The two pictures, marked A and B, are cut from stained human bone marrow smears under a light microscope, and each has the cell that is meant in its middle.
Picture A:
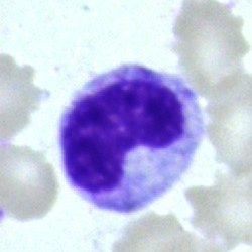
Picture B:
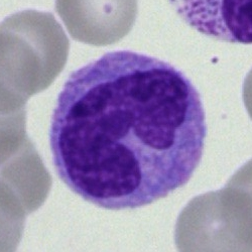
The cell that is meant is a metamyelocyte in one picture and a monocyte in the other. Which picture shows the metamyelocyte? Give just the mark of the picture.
A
